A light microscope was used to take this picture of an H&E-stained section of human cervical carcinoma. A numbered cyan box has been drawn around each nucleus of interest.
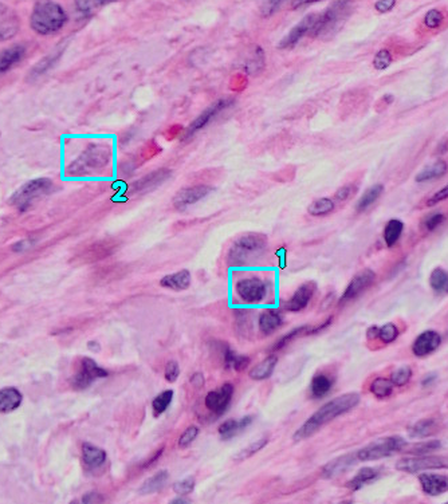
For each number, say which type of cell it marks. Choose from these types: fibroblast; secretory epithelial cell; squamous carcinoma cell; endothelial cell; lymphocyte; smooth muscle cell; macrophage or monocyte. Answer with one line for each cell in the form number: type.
1: lymphocyte
2: fibroblast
